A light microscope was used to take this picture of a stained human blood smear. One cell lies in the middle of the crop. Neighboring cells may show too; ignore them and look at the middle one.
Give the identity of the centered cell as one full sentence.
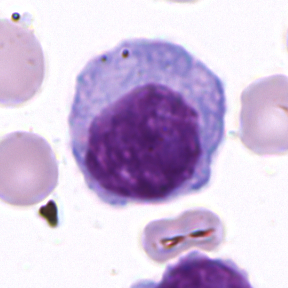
The central element of this crop is a cell, namely a plasma cell.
